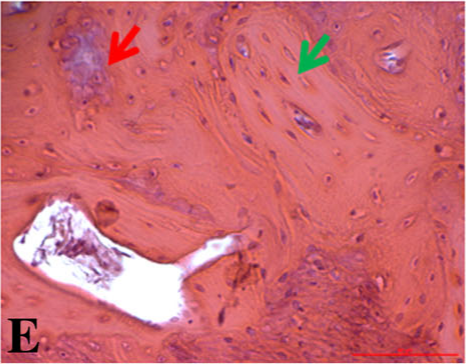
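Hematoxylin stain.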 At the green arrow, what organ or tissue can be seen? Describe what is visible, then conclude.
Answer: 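The green arrow lies on densely packed pink matrix in concentric layers. Osteocytes sit in small lacunae arranged around a central canal.
Hence: newly formed compact bone.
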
